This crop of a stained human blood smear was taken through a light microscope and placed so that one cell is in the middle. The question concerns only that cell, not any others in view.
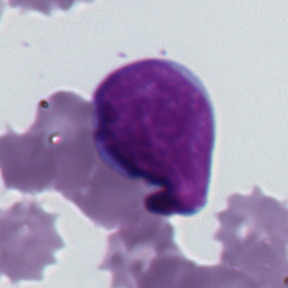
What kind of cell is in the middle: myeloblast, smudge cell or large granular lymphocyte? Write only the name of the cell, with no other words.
myeloblast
